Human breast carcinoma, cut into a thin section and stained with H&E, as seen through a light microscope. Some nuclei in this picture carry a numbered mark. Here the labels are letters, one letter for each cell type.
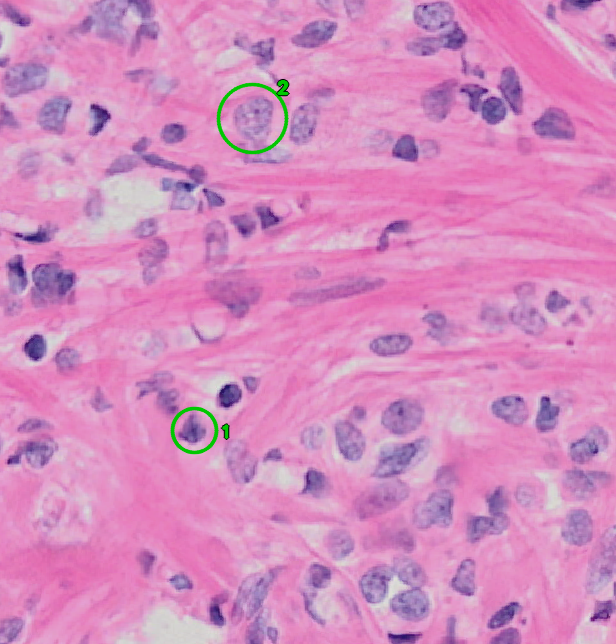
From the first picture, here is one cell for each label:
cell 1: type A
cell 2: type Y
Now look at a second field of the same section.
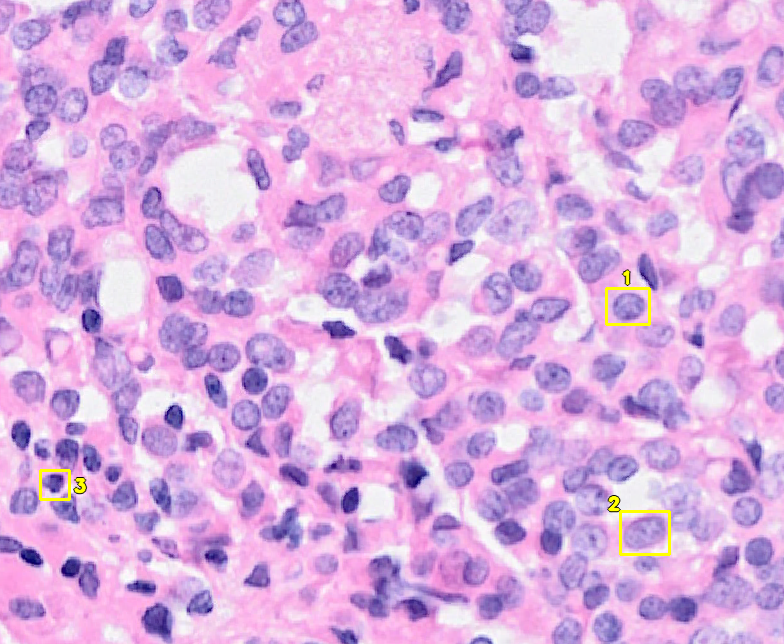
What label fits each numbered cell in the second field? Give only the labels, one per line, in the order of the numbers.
type Y
type Y
type A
